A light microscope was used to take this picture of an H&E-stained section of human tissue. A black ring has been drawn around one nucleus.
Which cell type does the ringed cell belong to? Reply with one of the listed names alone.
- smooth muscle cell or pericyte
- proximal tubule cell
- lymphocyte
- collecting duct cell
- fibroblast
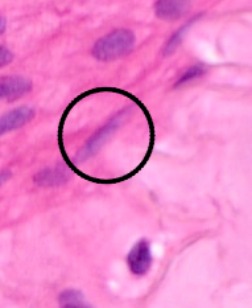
smooth muscle cell or pericyte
